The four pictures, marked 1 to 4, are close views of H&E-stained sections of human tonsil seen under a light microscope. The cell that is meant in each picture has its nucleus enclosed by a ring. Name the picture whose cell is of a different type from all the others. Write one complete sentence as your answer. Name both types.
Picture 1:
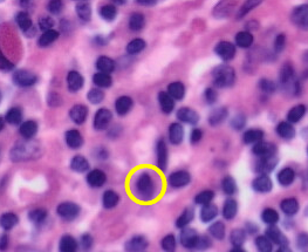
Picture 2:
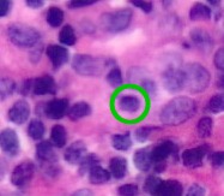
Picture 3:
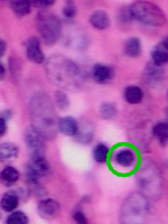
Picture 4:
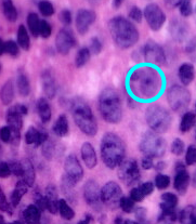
Picture 4 differs, because its cell is a proliferating B cell and the rest are endothelial cells.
